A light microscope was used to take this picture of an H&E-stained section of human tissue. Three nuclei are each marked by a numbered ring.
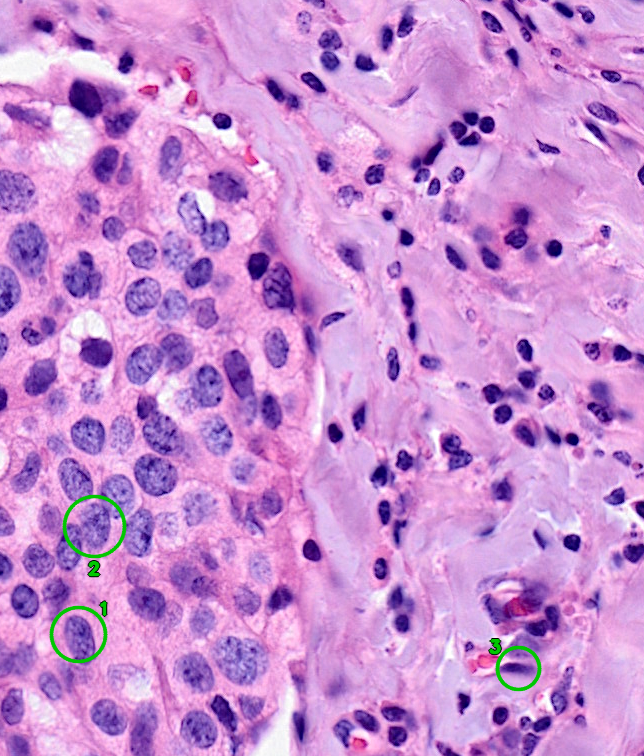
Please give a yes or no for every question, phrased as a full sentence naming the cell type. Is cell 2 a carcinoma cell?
Yes, the cell tagged with number 2 is a carcinoma cell.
